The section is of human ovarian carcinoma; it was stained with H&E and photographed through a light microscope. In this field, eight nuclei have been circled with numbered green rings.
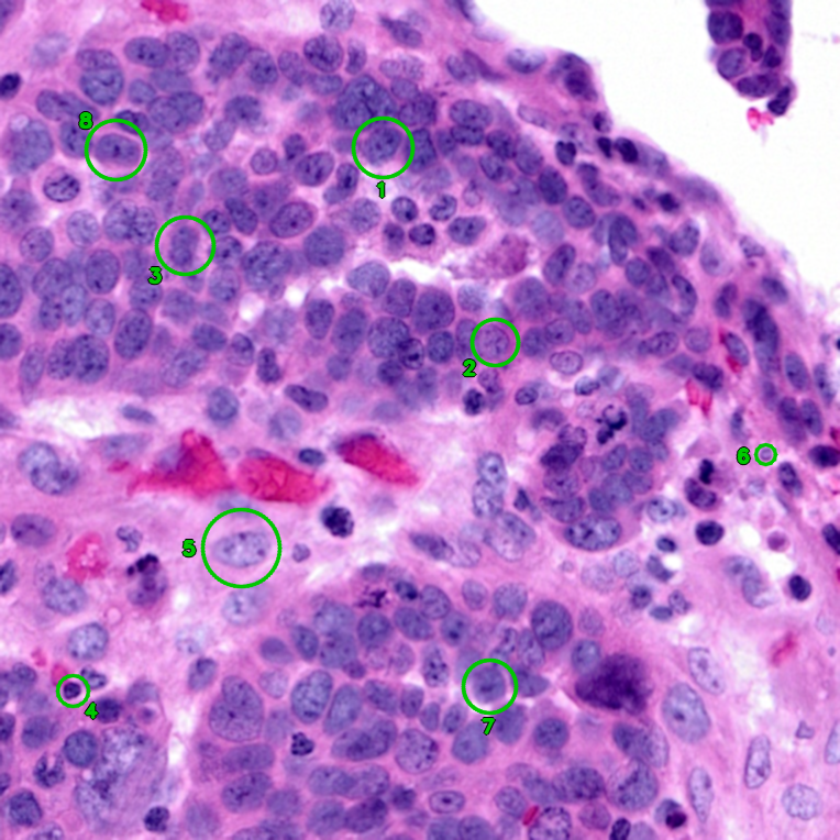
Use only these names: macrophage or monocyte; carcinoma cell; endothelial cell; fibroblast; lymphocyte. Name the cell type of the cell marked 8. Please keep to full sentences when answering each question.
The one numbered 8 among the marked cells is a carcinoma cell.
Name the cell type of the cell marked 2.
The cell that carries the label 2 is a carcinoma cell.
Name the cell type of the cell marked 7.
The cell identified by number 7 is a carcinoma cell.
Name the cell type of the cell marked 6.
The cell bearing label 6 corresponds to a lymphocyte.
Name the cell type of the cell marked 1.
The nucleus marked 1 is the nucleus of a carcinoma cell.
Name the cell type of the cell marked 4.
Identified as a lymphocyte is the cell bearing the number 4.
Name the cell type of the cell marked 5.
The cell that bears the number 5 is a fibroblast.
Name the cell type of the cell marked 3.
The cell referred to as 3 is a carcinoma cell.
